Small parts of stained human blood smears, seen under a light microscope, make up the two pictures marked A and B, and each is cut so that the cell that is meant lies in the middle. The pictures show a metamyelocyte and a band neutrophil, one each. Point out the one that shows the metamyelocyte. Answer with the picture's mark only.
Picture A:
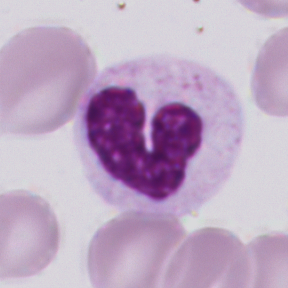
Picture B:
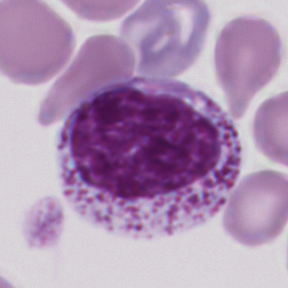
B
